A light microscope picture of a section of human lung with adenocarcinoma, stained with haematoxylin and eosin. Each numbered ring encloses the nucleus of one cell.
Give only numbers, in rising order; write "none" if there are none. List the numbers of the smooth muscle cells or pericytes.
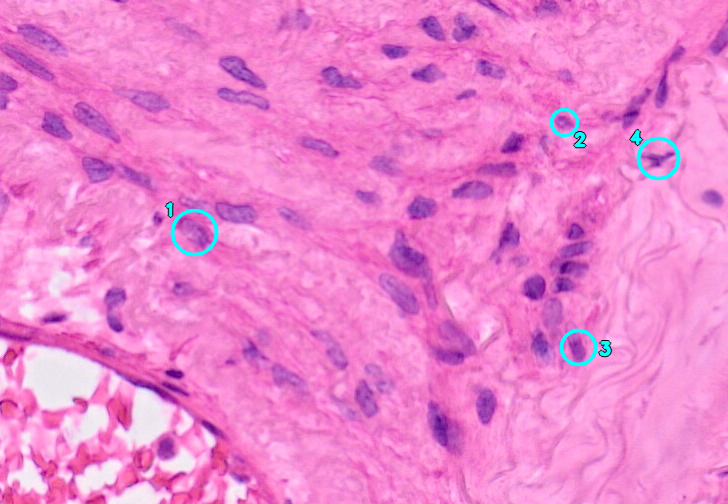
1, 2, 3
